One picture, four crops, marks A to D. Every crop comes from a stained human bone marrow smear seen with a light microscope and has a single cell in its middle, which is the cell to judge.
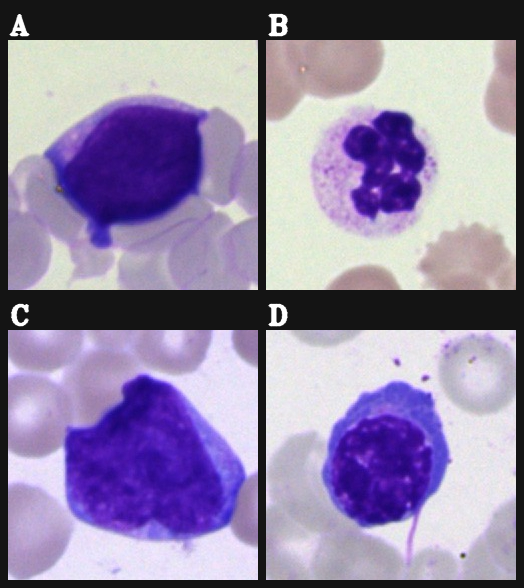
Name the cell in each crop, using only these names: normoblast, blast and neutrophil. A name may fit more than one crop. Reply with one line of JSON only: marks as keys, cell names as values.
{"A": "blast", "B": "neutrophil", "C": "blast", "D": "normoblast"}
